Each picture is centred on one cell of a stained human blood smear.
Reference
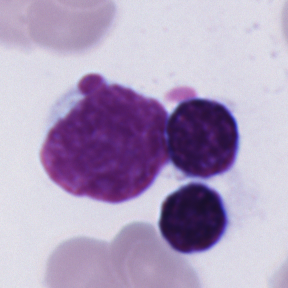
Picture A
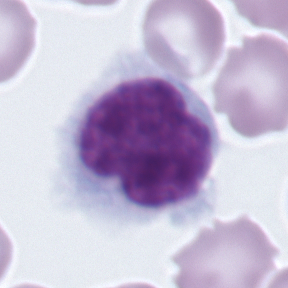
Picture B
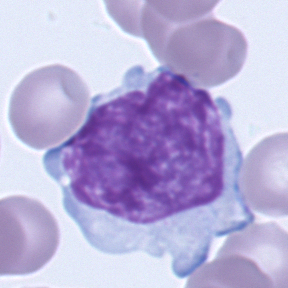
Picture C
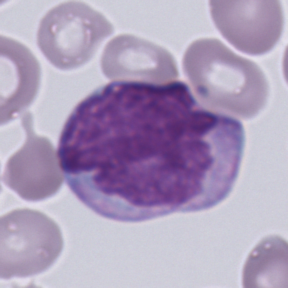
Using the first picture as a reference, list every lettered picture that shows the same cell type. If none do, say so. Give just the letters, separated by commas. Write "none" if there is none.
B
